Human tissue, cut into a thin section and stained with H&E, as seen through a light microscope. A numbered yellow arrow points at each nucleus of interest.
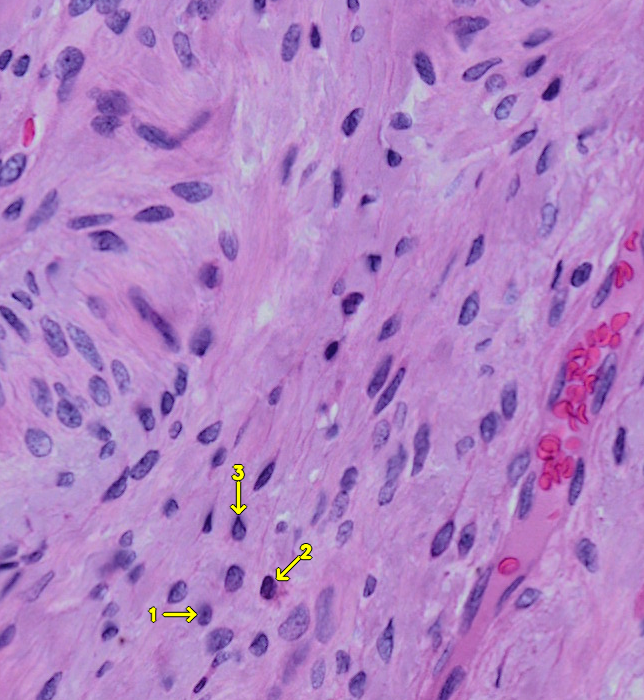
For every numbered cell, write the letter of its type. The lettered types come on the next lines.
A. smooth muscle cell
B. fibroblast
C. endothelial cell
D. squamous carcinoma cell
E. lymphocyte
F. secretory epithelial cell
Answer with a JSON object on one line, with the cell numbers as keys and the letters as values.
{"1": "B", "2": "E", "3": "B"}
